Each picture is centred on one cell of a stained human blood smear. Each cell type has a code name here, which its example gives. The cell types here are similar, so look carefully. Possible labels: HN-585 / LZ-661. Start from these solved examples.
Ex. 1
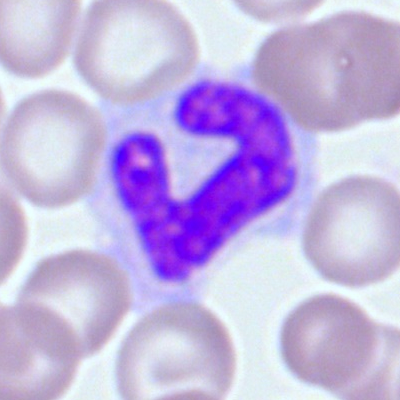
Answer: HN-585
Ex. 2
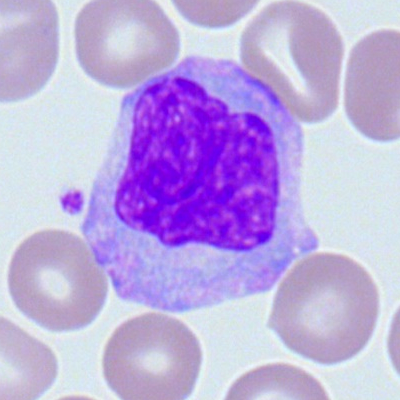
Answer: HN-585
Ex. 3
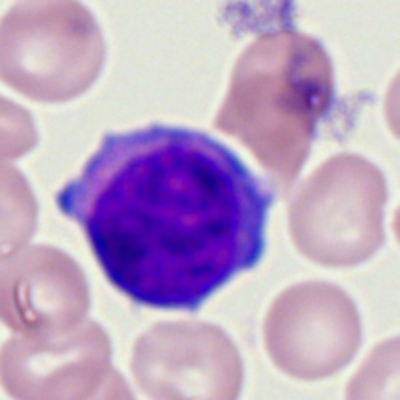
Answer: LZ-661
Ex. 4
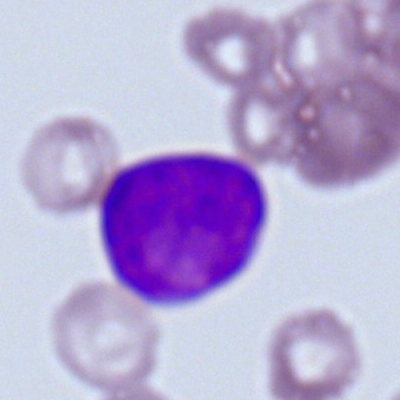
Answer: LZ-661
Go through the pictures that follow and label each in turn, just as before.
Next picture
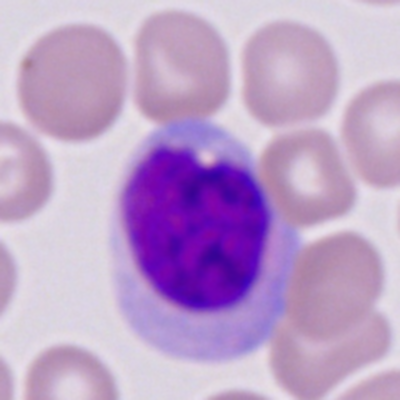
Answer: HN-585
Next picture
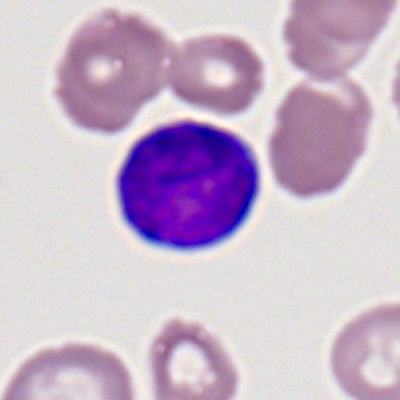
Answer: LZ-661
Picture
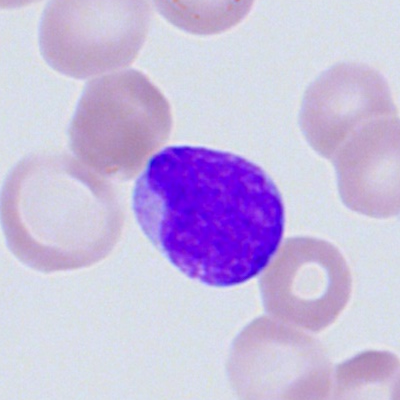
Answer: LZ-661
